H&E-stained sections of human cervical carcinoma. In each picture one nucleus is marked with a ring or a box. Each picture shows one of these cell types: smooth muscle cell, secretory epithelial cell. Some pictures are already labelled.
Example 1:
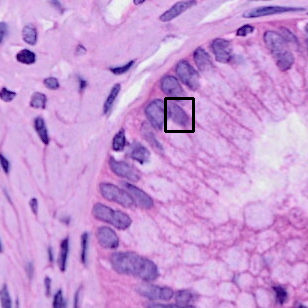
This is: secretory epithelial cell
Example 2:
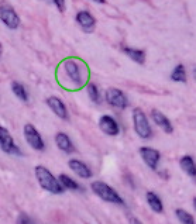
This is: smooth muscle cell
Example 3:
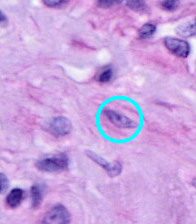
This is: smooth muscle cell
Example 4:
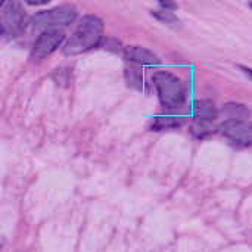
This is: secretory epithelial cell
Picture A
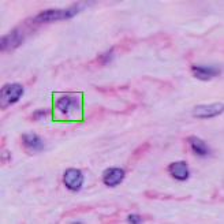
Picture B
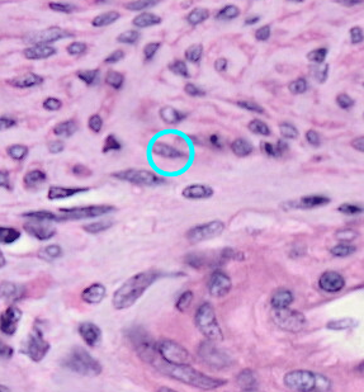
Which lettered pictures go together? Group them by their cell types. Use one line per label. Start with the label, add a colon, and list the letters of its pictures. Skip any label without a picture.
smooth muscle cell: A, B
